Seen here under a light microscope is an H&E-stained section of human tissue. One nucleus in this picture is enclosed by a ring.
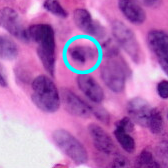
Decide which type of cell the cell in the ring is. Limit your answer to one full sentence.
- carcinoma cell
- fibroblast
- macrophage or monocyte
Considered by cell type, the cell in the ring is a macrophage or monocyte.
